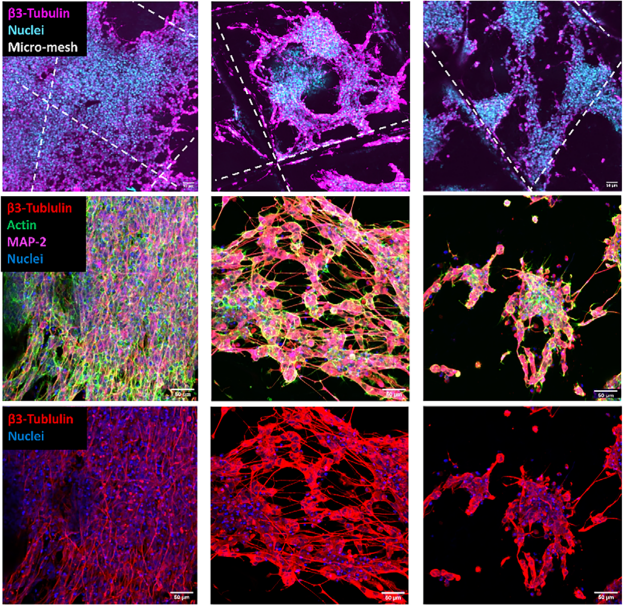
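A grid of nine fluorescence images shows cultured neurons covering a scaffold, with small round nuclei set among thin branching processes. In the left column the cells form a continuous, densely packed sheet with processes woven tightly across it. The bottom row shows the processes most clearly as red threads extending away from groups of blue nuclei.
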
